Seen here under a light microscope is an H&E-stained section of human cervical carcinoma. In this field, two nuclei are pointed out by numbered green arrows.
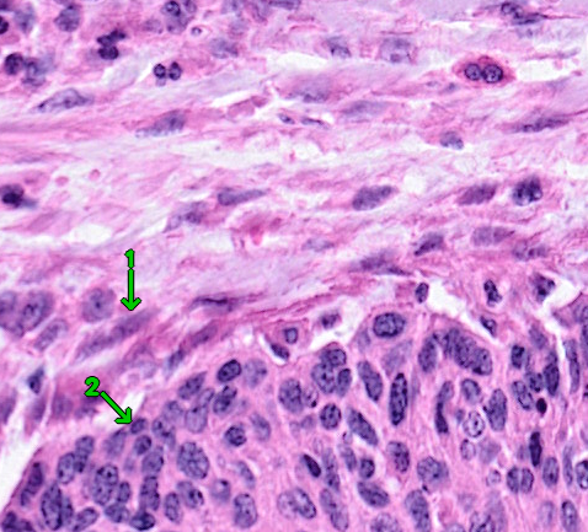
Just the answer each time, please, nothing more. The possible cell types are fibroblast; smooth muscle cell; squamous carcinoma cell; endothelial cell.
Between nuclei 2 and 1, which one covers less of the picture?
2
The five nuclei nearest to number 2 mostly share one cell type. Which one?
squamous carcinoma cell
